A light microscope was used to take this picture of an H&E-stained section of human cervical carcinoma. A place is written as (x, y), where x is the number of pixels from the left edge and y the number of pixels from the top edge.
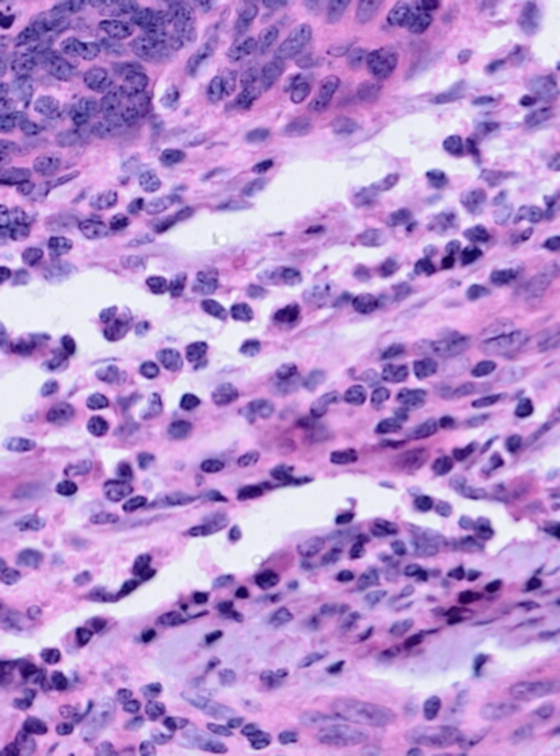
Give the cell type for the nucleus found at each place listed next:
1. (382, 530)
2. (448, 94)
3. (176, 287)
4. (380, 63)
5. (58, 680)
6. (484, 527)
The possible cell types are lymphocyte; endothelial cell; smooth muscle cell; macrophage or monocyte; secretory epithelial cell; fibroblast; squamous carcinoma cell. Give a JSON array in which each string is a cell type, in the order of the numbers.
["lymphocyte", "fibroblast", "lymphocyte", "squamous carcinoma cell", "lymphocyte", "lymphocyte"]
